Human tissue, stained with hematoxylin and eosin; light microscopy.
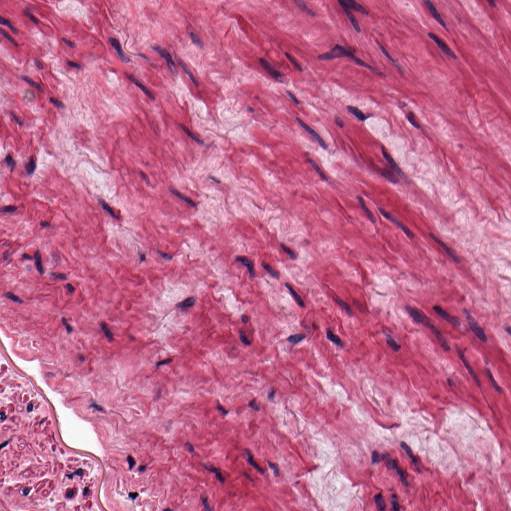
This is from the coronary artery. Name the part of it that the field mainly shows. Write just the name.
tunica media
